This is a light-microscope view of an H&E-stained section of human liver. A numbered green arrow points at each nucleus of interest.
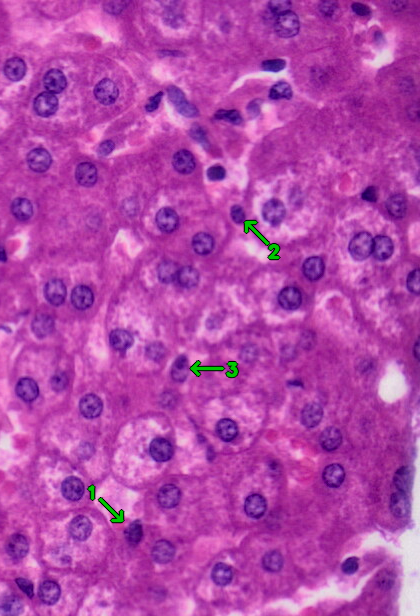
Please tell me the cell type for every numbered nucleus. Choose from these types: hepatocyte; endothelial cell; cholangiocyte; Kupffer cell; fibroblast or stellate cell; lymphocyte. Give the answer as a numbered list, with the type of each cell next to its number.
1. endothelial cell
2. lymphocyte
3. Kupffer cell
